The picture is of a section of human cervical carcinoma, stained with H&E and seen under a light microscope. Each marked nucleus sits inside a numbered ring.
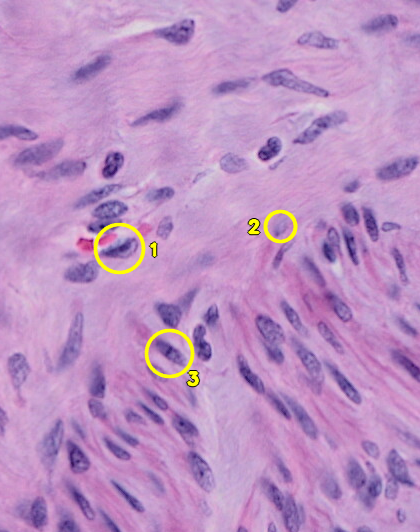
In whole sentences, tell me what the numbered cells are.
Cell 1 is an endothelial cell, cell 2 is a smooth muscle cell and cell 3 is a smooth muscle cell.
